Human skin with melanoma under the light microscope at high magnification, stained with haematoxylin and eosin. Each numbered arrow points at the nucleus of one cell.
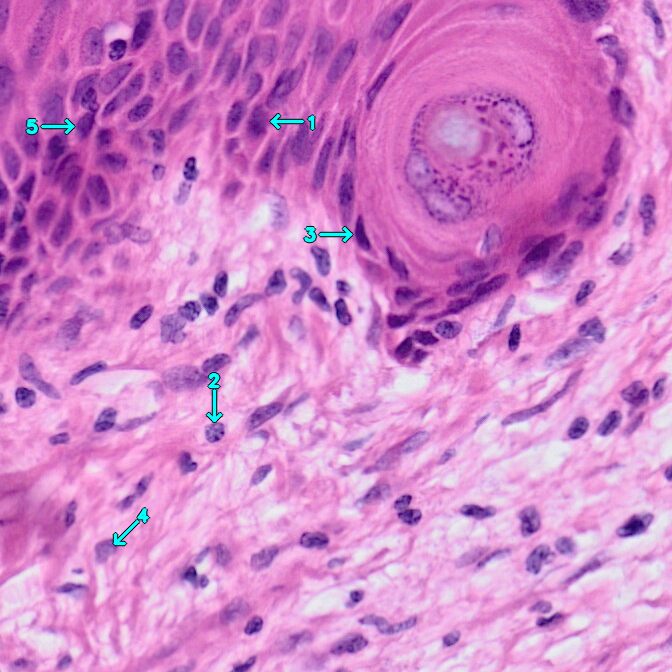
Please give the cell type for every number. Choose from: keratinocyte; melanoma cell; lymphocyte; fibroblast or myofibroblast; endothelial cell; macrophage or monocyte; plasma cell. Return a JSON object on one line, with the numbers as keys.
{"1": "keratinocyte", "2": "lymphocyte", "3": "keratinocyte", "4": "fibroblast or myofibroblast", "5": "keratinocyte"}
